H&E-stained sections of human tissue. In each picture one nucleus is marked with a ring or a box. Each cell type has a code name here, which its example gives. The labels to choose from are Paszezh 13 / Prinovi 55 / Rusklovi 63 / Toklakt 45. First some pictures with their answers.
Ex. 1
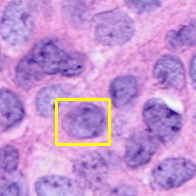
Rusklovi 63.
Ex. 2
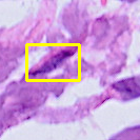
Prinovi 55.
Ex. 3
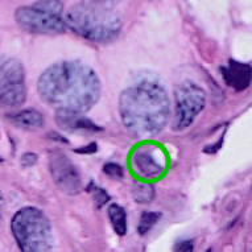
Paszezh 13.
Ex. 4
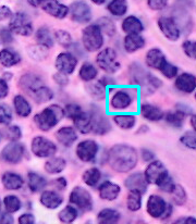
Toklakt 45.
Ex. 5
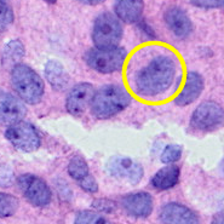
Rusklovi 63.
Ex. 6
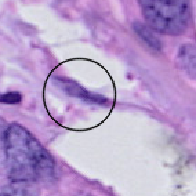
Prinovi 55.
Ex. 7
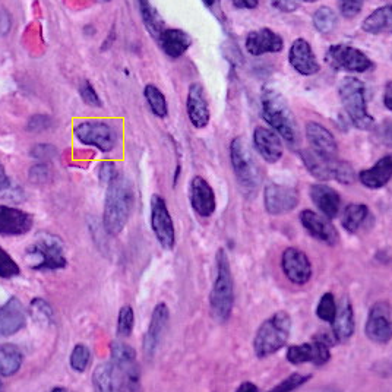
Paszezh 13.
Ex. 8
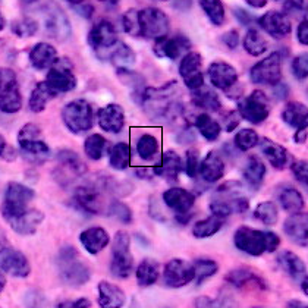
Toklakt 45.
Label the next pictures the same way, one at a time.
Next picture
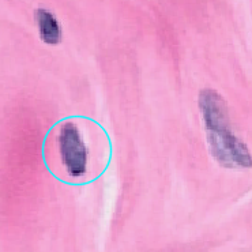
Toklakt 45.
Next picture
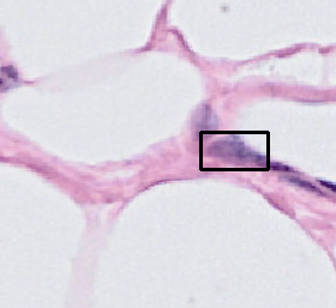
Paszezh 13.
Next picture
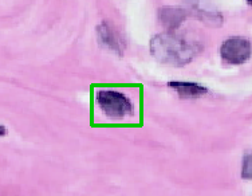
Toklakt 45.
